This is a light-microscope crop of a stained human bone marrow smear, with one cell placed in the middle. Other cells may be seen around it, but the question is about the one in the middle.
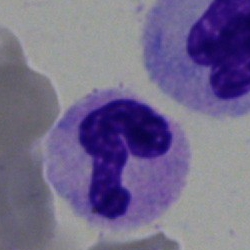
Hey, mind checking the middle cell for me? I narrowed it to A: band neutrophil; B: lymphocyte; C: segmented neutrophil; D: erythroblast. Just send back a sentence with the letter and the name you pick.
Since the middle cell is a segmented neutrophil, option C is the right one.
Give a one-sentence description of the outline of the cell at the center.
Smooth edges only, with no spikes, blebs, or other projections.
